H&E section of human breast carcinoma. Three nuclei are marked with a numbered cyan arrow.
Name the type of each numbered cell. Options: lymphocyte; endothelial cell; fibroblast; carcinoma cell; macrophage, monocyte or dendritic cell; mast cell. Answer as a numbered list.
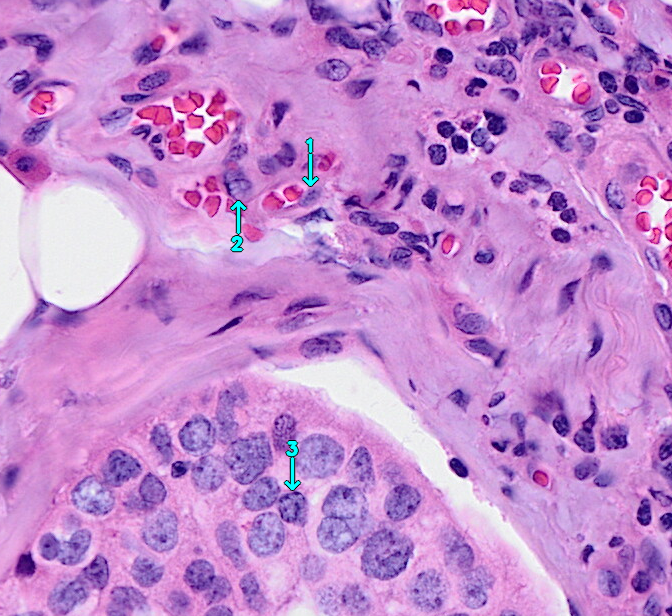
1. endothelial cell
2. endothelial cell
3. carcinoma cell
